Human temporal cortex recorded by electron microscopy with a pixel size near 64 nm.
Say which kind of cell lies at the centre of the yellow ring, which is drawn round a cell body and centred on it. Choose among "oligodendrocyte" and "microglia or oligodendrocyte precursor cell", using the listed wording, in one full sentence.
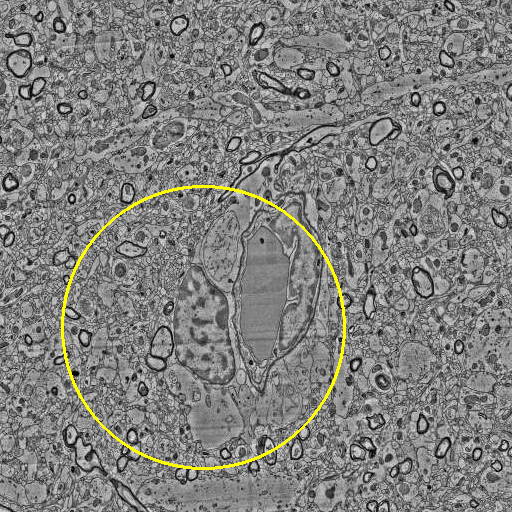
Going by the list, the cell at the yellow ring's centre is a microglial cell or oligodendrocyte precursor cell.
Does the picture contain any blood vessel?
Yes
